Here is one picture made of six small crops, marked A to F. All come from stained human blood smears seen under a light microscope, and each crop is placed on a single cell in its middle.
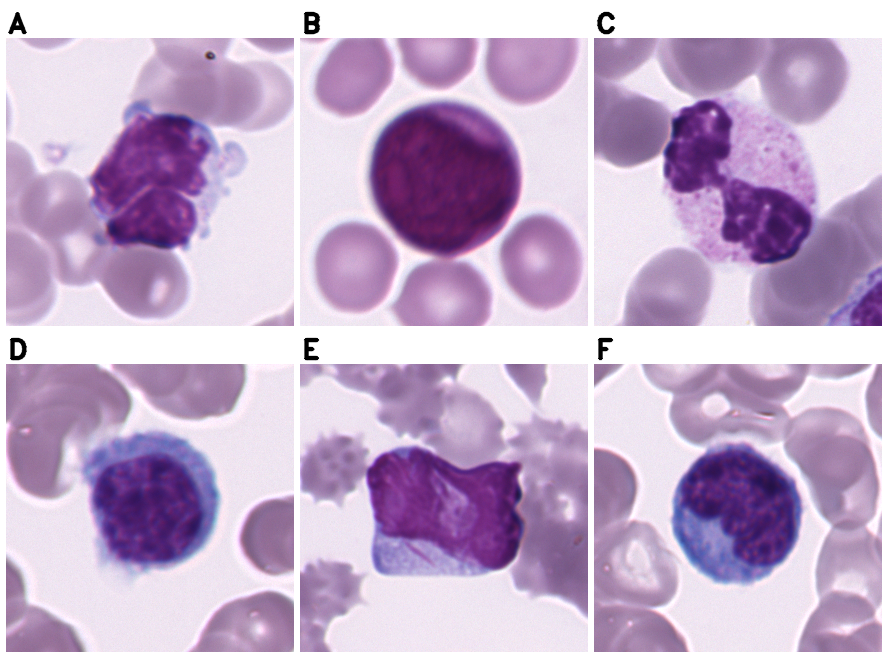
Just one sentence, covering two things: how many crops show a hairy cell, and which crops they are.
The count for hairy cells is zero, since no crop shows any.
